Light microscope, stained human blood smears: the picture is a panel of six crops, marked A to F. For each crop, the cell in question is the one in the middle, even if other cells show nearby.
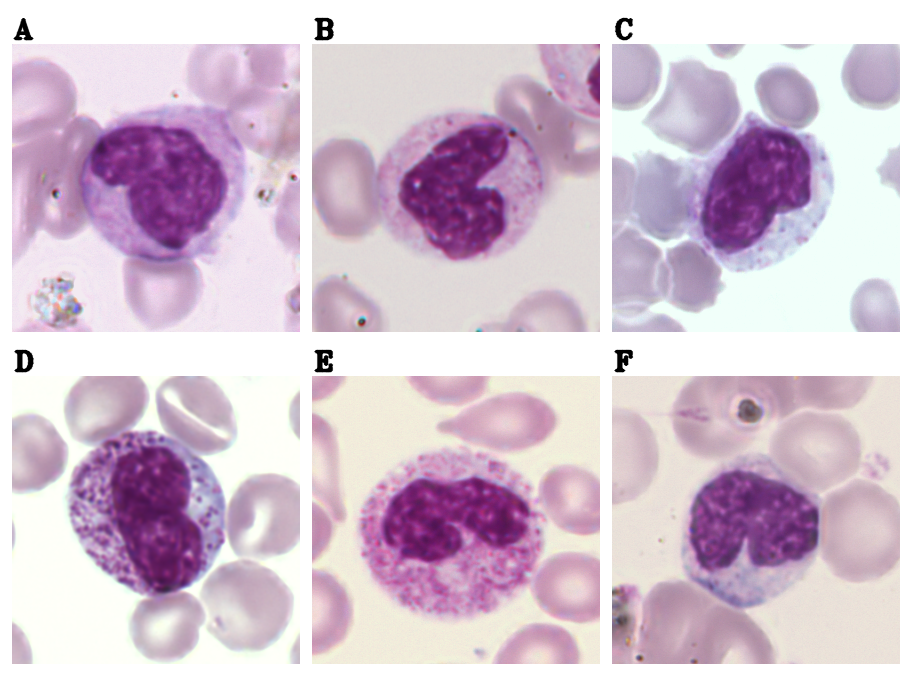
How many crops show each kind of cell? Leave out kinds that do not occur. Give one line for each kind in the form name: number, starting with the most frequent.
band neutrophil: 4
metamyelocyte: 2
